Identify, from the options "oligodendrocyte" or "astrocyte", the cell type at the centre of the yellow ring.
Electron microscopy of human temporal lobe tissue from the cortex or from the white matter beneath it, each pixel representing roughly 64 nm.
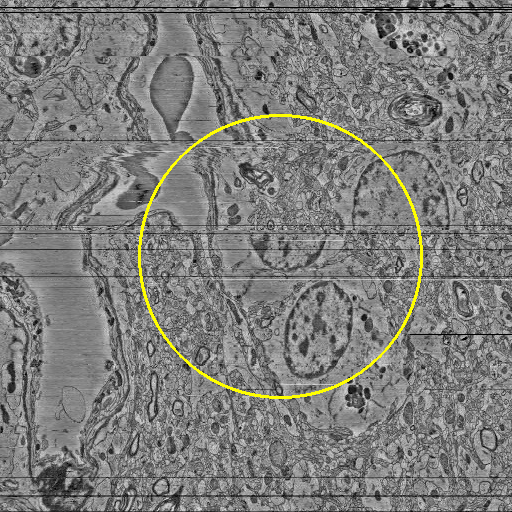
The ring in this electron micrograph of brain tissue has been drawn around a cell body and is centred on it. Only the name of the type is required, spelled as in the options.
astrocyte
